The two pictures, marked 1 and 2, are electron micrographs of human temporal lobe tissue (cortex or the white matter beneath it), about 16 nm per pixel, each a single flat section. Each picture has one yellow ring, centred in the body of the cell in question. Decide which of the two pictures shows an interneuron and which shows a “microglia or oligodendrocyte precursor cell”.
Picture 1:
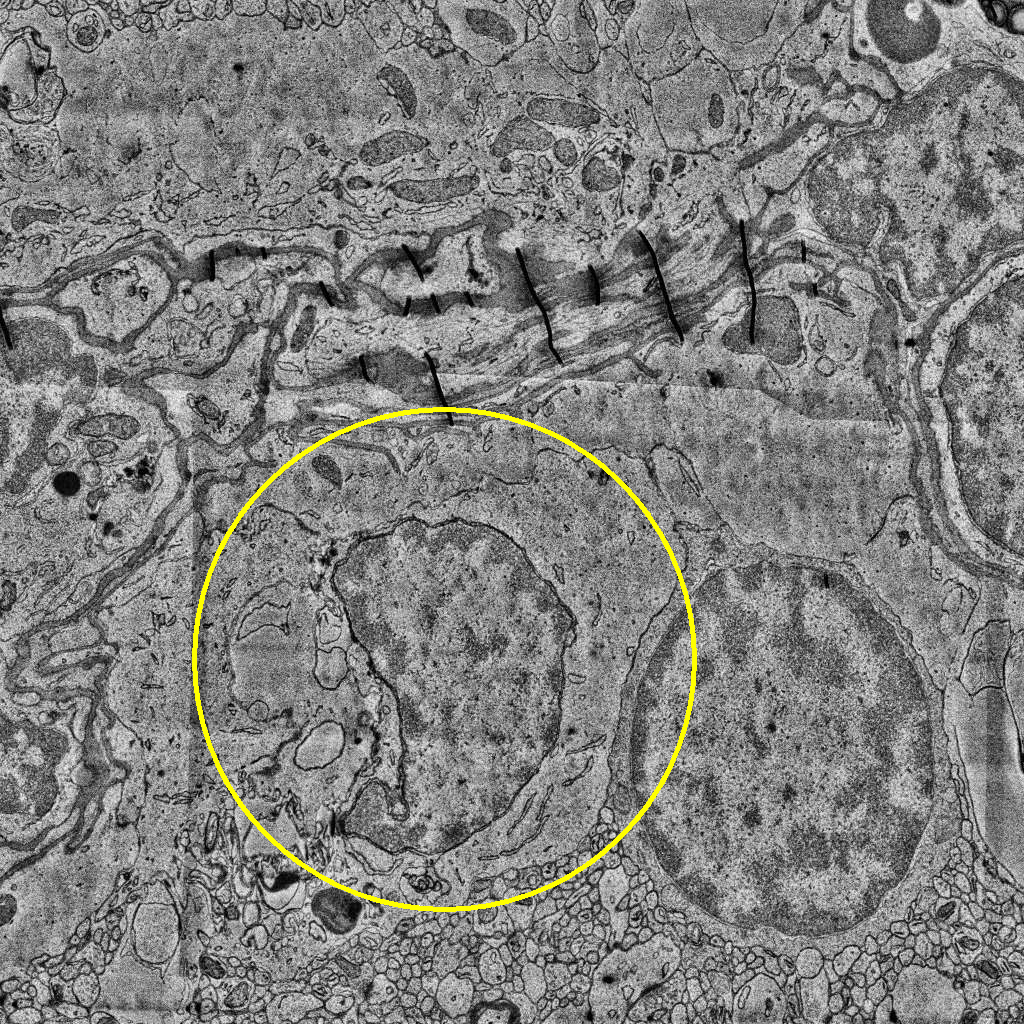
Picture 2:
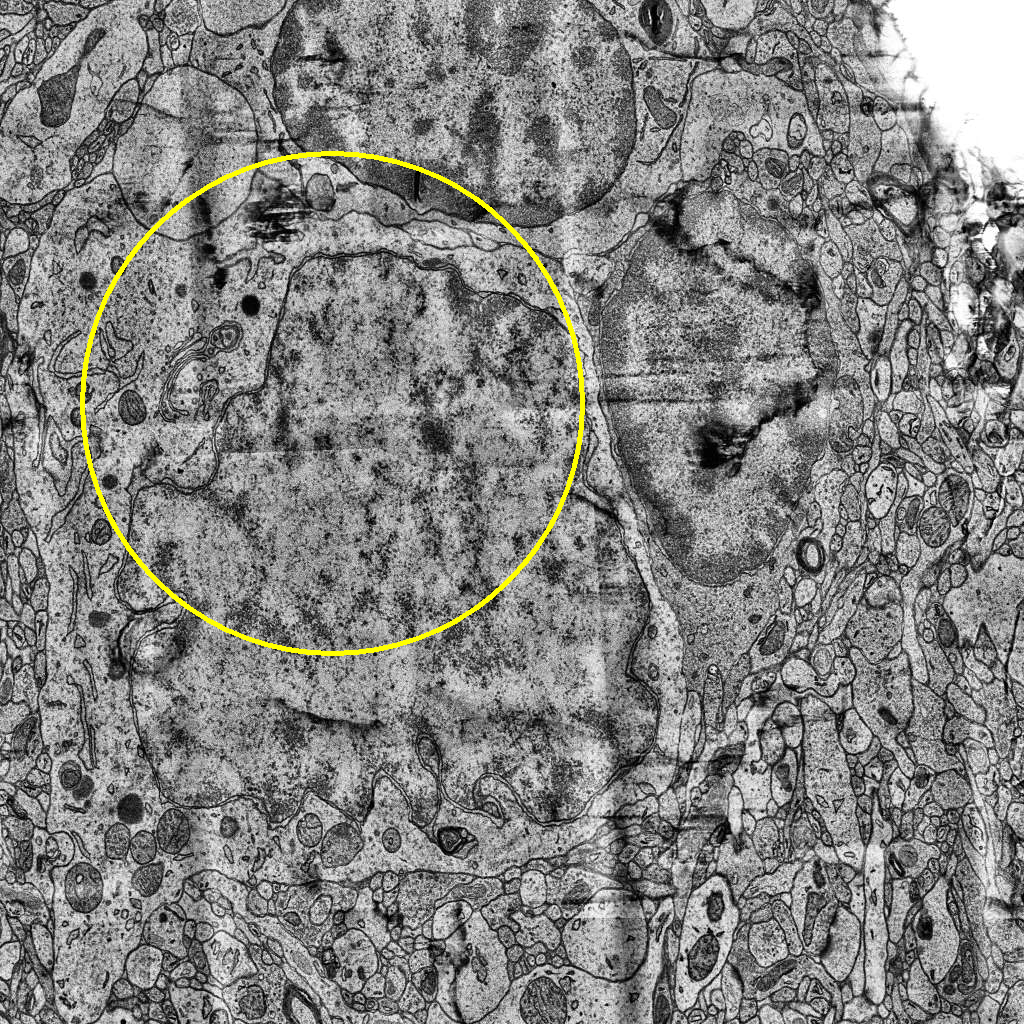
Picture 2 shows an interneuron, while picture 1 shows a “microglia or oligodendrocyte precursor cell”.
